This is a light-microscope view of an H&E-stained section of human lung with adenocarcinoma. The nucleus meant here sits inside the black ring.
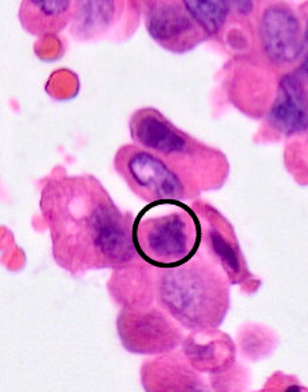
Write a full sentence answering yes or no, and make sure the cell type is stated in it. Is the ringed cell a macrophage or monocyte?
No, the ringed cell is to be classified as a carcinoma cell rather than a macrophage or monocyte.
